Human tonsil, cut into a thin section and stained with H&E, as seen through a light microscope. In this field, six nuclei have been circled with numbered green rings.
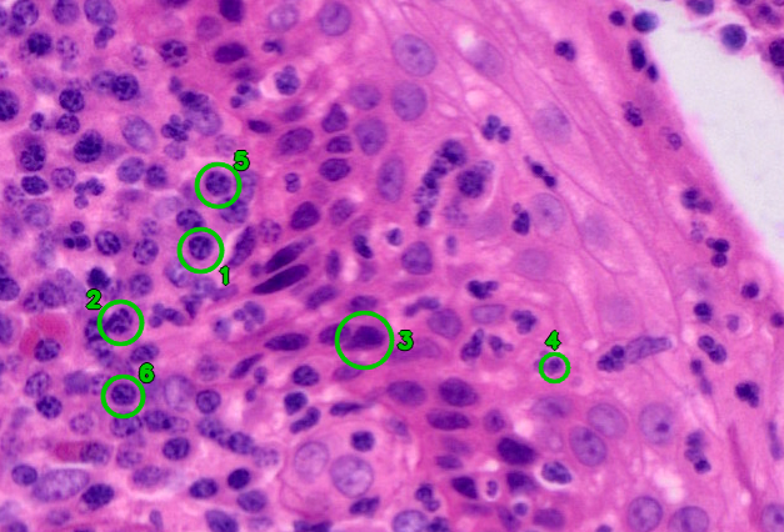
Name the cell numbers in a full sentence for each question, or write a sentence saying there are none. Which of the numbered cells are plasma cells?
Identified as plasma cells are the cells numbered 1, 2, 5 and 6.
